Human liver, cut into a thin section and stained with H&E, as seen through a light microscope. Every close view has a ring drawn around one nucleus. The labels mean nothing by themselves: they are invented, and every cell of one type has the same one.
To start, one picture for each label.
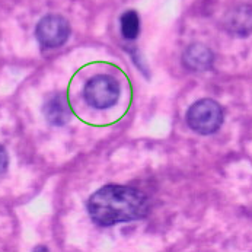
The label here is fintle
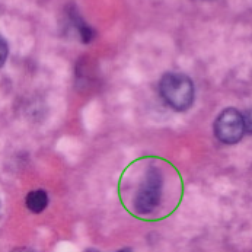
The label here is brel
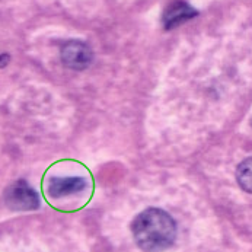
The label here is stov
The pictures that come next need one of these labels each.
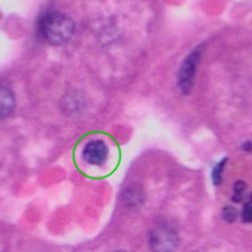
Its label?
stov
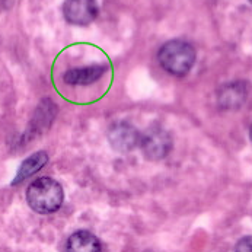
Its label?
brel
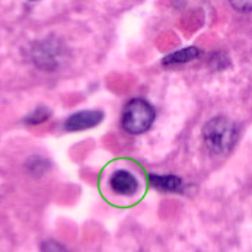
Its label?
stov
